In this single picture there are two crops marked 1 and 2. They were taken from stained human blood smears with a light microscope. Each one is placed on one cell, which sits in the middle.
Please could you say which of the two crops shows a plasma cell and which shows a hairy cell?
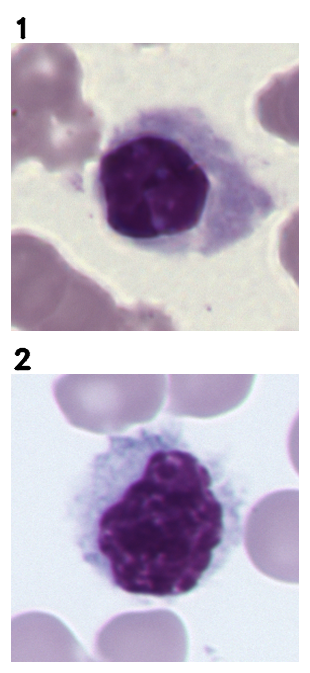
1: plasma cell
2: hairy cell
